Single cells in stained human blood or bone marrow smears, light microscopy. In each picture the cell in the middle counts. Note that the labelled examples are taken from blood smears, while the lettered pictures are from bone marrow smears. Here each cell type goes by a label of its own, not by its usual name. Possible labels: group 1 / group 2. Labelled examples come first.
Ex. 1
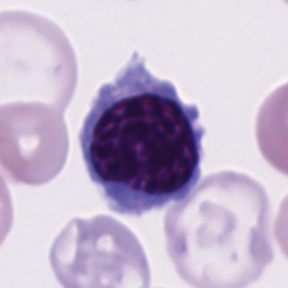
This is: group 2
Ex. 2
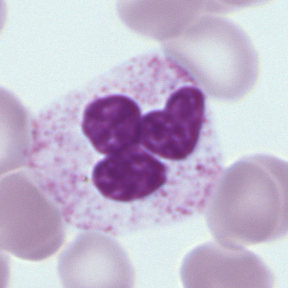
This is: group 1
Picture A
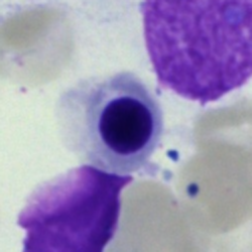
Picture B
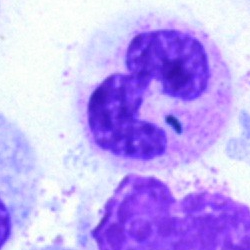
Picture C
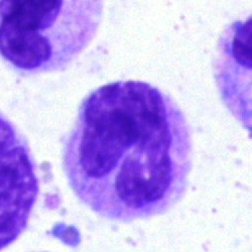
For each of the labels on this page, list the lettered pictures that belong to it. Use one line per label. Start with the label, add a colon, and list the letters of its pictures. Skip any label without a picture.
group 1: B, C
group 2: A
